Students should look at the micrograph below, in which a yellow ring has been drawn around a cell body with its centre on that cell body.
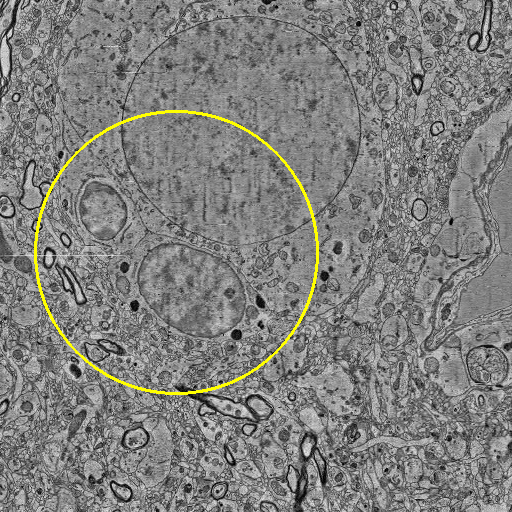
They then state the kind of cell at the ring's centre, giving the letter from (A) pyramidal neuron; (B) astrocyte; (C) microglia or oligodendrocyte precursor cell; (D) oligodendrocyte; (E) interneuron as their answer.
D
